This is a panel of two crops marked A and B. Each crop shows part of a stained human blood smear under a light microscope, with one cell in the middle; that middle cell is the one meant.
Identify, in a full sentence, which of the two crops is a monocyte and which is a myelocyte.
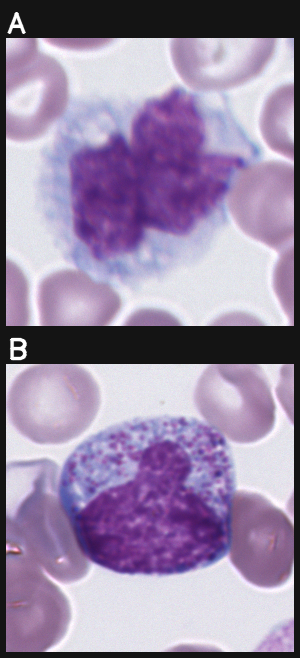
Okay, so crop A is a monocyte and crop B is a myelocyte.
